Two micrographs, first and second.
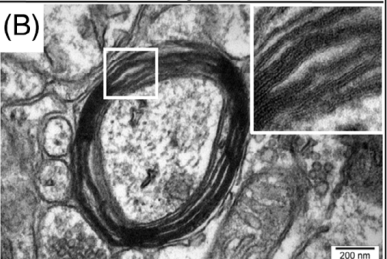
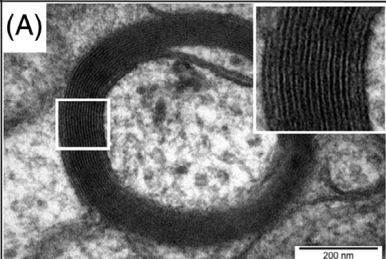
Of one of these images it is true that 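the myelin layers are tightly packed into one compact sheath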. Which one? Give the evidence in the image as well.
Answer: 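First image: the myelin lamellae around the axon are loosened and separated by pale gaps. Second image: the myelin forms an evenly dark, tightly stacked ring of fine regular lamellae.
The second image.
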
